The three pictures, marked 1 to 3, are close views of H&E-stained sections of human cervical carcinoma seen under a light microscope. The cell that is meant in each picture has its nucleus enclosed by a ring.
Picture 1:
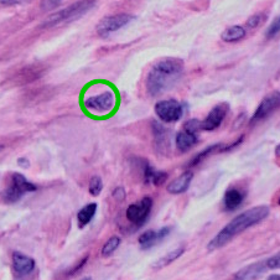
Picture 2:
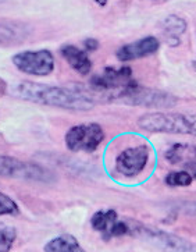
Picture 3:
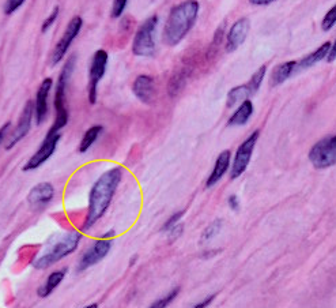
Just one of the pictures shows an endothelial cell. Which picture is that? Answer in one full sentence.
It is picture 3 that shows the endothelial cell.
